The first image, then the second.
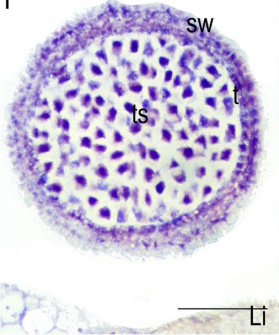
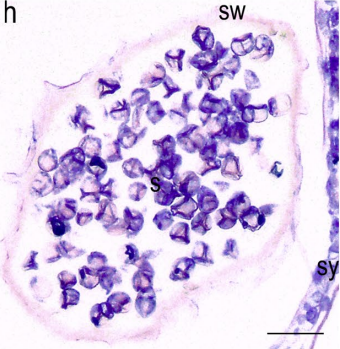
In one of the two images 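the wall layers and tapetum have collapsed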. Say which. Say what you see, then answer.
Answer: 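The second image. Second image: the sporangium is bounded only by a thin pale line with no distinct cell layers. First image: a thick ring of several cell layers surrounds the central cells.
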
